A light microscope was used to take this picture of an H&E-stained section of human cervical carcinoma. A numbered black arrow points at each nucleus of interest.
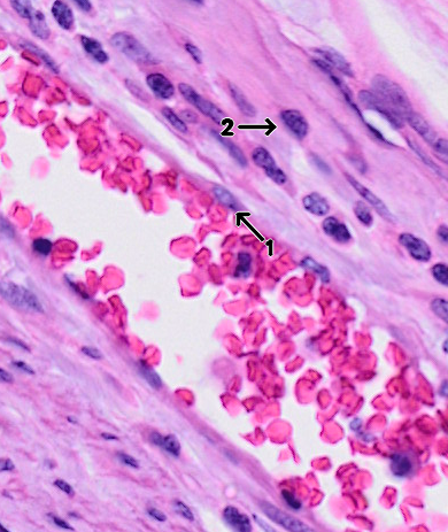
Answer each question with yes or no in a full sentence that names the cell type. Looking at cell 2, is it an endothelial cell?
No, the right label for cell 2 is a lymphocyte rather than an endothelial cell.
